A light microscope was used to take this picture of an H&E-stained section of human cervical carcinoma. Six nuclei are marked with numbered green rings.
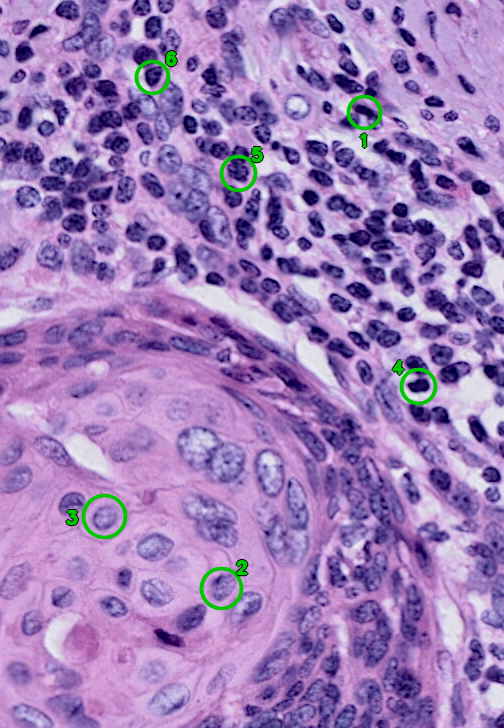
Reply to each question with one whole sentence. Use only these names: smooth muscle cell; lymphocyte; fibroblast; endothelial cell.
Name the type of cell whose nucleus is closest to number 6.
It is a lymphocyte whose nucleus is nearest to number 6.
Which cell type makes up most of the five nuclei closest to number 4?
Lymphocytes make up most of the five nuclei closest to number 4.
